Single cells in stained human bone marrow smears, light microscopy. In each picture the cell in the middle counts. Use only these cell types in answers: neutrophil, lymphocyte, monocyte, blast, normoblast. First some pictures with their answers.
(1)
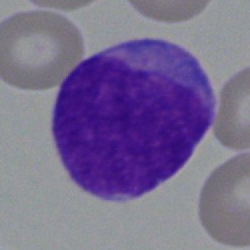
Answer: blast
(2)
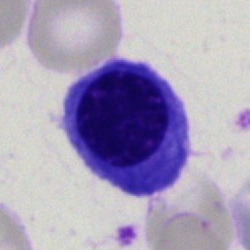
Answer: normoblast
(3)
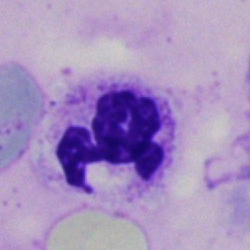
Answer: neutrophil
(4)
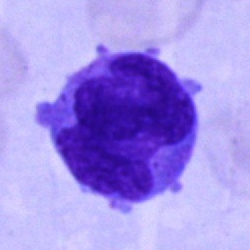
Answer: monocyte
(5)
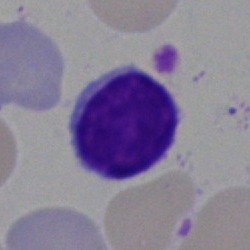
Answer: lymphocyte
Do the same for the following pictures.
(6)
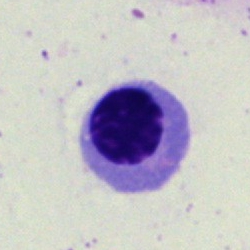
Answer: normoblast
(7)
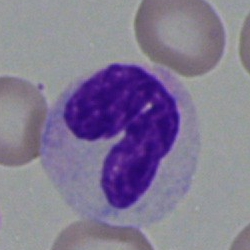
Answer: neutrophil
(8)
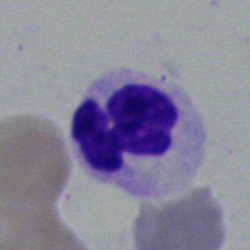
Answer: neutrophil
